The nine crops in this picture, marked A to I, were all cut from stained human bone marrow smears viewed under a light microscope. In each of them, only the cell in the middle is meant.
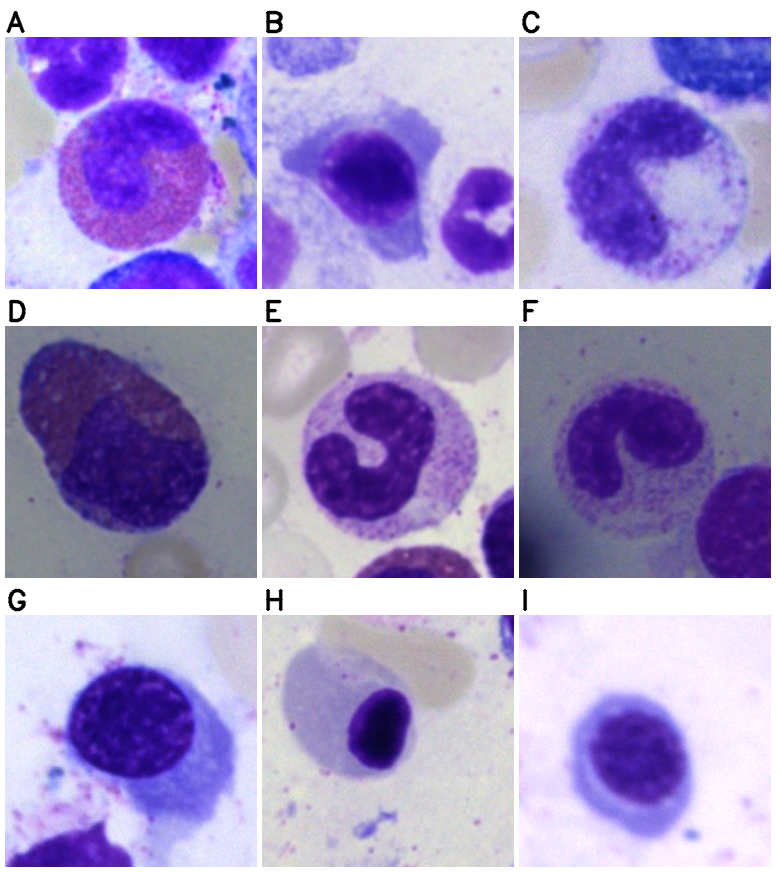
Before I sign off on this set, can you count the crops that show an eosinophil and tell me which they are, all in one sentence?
Crops with eosinophils come to two, specifically A and D.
